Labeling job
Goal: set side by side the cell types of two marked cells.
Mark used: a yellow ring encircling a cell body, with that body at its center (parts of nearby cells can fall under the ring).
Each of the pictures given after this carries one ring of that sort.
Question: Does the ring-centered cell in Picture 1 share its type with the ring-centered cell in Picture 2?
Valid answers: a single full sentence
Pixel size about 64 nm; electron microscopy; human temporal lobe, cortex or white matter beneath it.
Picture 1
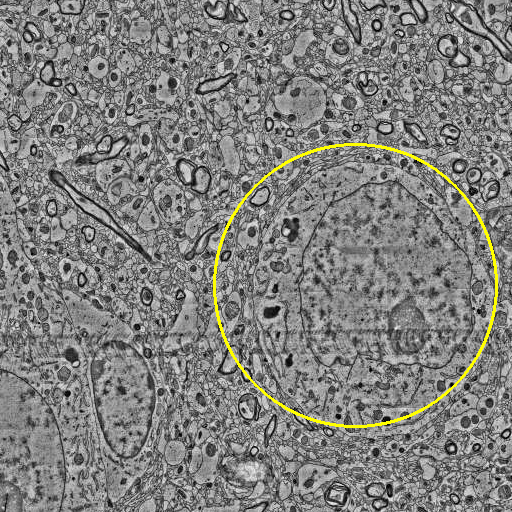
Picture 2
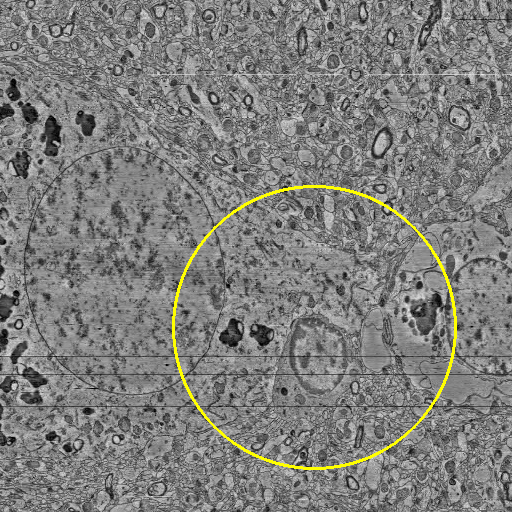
No, in Pictures 1 and 2 the cells at the ring centers have separate types.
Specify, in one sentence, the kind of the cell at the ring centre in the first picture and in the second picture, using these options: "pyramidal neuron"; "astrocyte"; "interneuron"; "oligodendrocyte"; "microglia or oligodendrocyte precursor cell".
So the first is a pyramidal neuron, the second an oligodendrocyte.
